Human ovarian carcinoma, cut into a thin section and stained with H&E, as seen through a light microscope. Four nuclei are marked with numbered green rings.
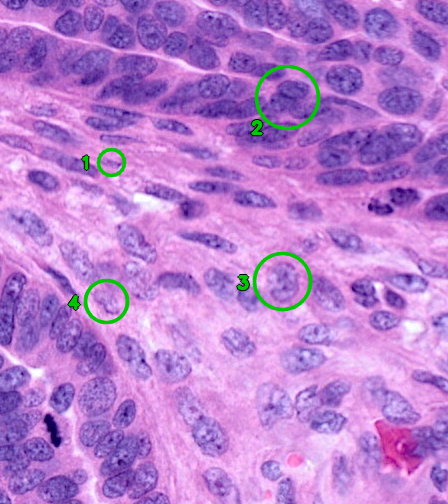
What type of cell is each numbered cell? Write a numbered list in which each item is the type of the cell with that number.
1. fibroblast
2. carcinoma cell
3. fibroblast
4. fibroblast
